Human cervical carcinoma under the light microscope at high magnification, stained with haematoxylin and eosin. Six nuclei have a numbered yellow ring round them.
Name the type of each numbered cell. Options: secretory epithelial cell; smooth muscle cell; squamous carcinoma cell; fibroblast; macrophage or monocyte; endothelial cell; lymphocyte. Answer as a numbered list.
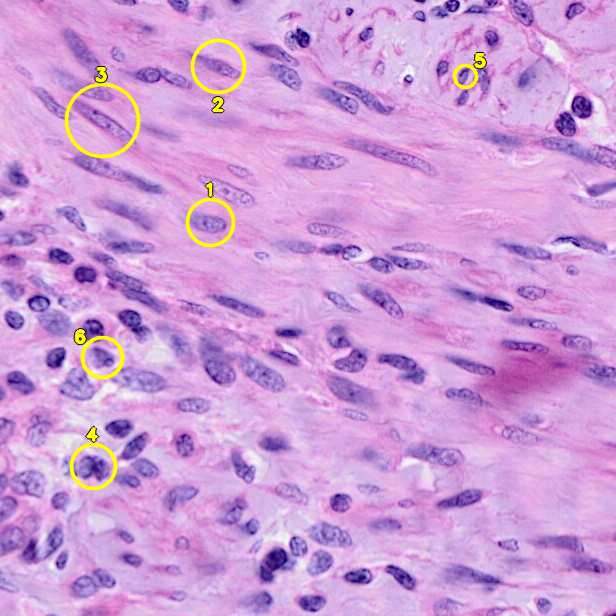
1. smooth muscle cell
2. smooth muscle cell
3. smooth muscle cell
4. lymphocyte
5. smooth muscle cell
6. lymphocyte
